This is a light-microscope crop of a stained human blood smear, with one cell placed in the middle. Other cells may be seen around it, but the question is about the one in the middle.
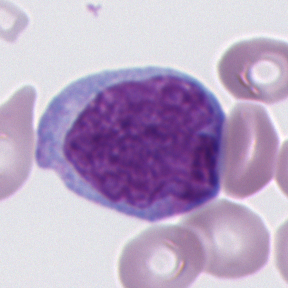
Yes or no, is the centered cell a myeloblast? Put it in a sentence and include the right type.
No, the centered cell is an atypical promyelocyte and not a myeloblast at all.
